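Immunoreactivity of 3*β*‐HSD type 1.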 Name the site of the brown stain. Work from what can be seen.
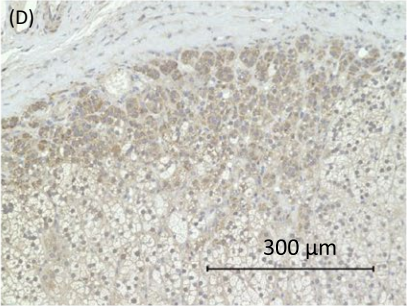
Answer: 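Zona glomerulosa. Compact cells with brown cytoplasm form a band directly beneath the fibrous capsule. Cells below this band are pale and vacuolated.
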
